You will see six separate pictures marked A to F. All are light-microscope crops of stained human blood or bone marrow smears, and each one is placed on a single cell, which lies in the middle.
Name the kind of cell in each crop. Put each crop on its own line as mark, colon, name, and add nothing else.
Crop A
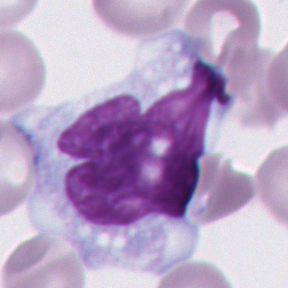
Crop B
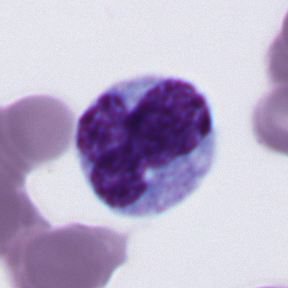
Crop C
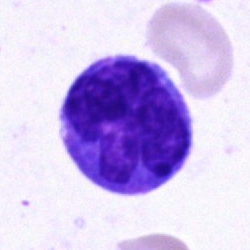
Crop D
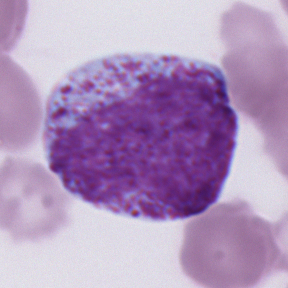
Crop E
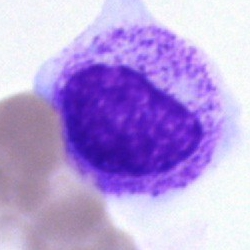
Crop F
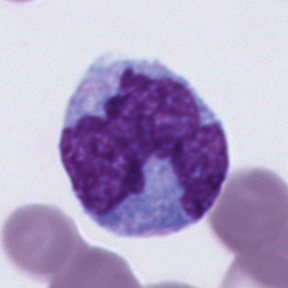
A: monocyte
B: monocyte
C: monocyte
D: myelocyte
E: myelocyte
F: monocyte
